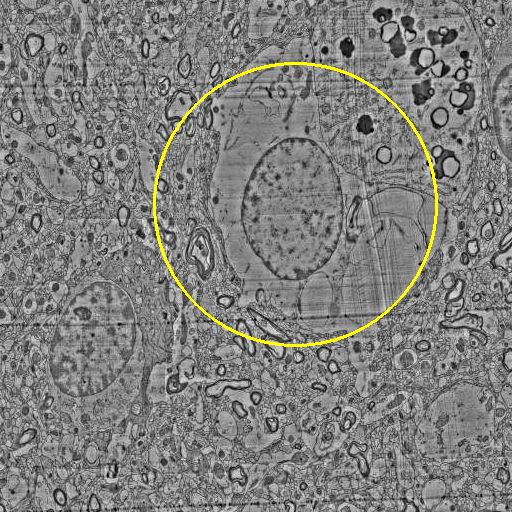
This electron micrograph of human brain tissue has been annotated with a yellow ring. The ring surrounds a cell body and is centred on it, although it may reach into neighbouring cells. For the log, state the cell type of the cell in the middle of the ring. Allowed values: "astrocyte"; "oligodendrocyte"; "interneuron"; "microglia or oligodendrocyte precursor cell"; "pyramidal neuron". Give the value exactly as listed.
astrocyte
